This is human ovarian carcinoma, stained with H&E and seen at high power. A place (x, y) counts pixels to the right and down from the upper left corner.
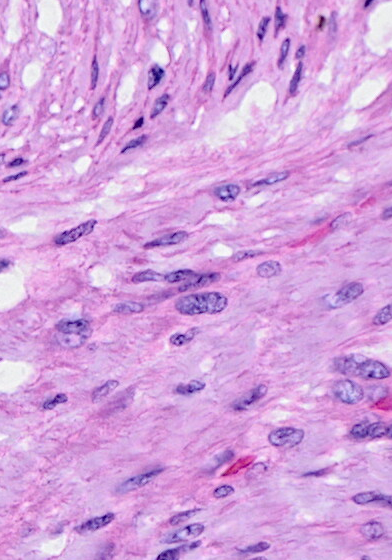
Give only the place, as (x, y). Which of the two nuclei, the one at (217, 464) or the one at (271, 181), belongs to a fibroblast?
(271, 181)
